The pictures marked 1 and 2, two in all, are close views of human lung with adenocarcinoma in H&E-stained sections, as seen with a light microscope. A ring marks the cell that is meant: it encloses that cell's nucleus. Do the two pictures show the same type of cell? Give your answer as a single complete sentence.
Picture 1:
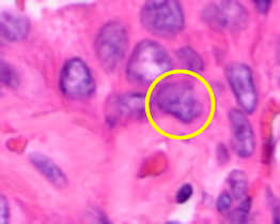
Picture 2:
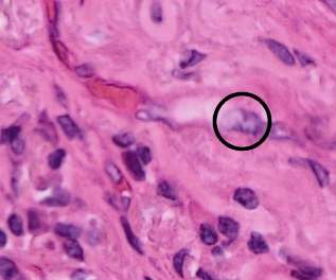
No, the types are not the same, since picture 1 shows a carcinoma cell and picture 2 an endothelial cell.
